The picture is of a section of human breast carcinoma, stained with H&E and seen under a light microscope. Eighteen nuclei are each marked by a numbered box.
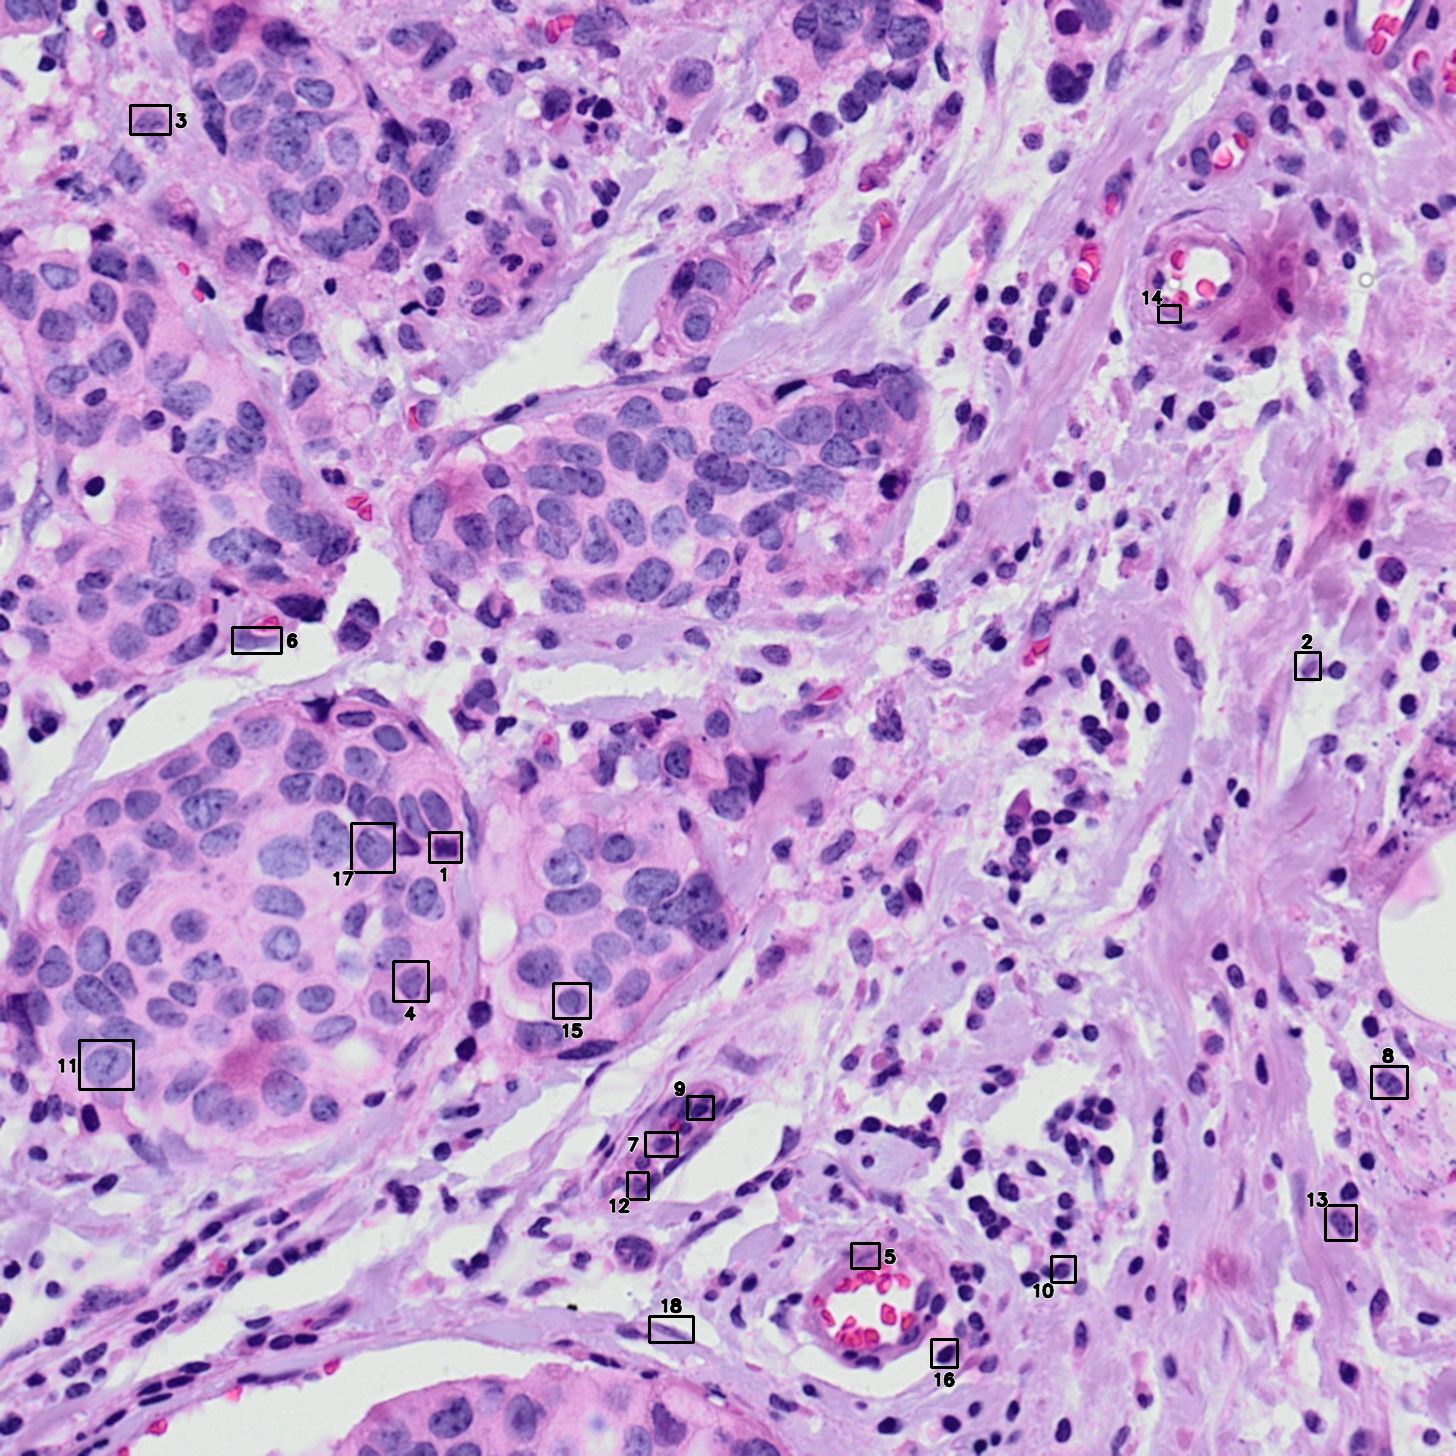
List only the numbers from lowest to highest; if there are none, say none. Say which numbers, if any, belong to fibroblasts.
2, 18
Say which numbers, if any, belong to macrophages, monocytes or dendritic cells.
3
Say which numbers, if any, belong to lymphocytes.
10, 16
